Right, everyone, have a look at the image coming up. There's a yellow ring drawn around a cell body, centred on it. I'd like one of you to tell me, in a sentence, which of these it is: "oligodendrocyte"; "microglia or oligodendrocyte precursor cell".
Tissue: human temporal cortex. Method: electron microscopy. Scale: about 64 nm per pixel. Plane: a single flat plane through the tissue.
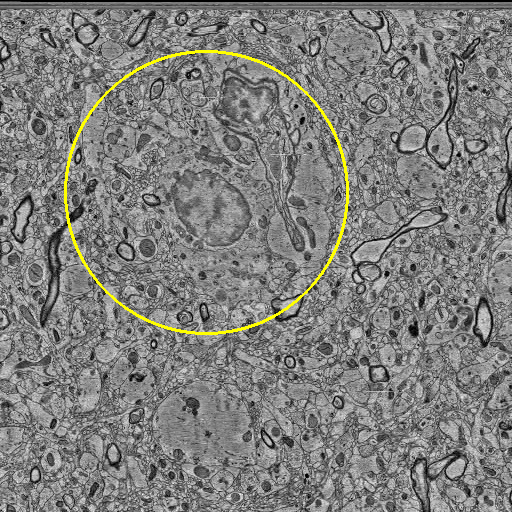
The yellow ring sits on an oligodendrocyte.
